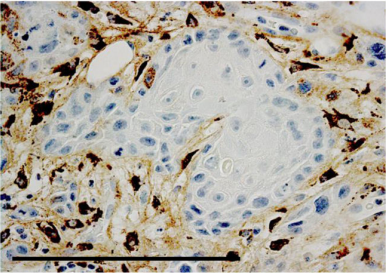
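Here an island of carcinoma cells sits in the middle, surrounded by stroma full of spindle-shaped mesenchymal cells. The carcinoma cells are large and polygonal, with pale, glassy cytoplasm and round to oval blue nuclei; they fit tightly together and stay unstained. Around the island the stromal cells are very different: slender, spindle or star-shaped, with long thin processes, and their cytoplasm is stained a dark brown. Fainter brown streaks run between them through the connective tissue. A small clear vessel lies at the upper left. The contrast between the pale epithelial nest and the dark brown cells encircling it is the main thing to notice.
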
